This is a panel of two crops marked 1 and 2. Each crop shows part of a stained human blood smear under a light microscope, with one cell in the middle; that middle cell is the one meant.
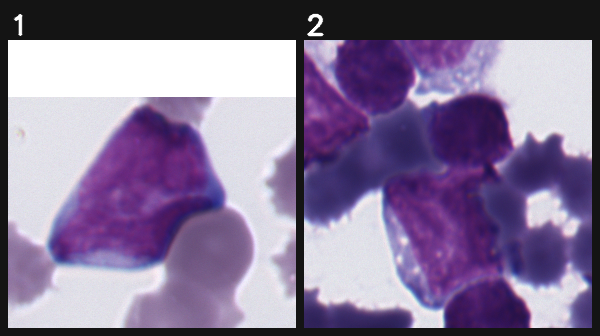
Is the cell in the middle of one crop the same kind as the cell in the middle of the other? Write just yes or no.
yes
